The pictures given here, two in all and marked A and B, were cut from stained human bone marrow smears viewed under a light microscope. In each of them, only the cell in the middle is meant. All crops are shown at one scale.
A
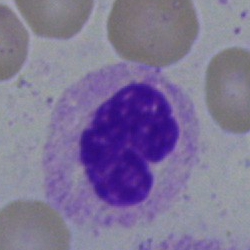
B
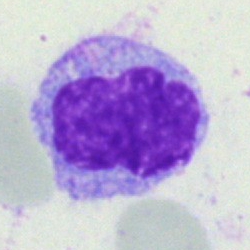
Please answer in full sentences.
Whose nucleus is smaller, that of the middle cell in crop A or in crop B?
Smaller is the nucleus in crop A, and the other is about 1.5 times as large in area.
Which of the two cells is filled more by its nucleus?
In crop B the nucleus takes up the larger part of its cell.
